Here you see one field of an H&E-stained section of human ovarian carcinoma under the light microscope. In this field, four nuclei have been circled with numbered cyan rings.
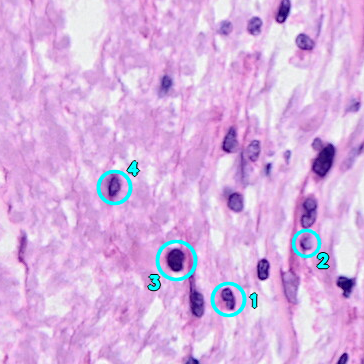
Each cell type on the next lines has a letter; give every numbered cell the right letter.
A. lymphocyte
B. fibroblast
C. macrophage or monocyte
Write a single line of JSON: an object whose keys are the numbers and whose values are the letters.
{"1": "A", "2": "A", "3": "A", "4": "C"}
